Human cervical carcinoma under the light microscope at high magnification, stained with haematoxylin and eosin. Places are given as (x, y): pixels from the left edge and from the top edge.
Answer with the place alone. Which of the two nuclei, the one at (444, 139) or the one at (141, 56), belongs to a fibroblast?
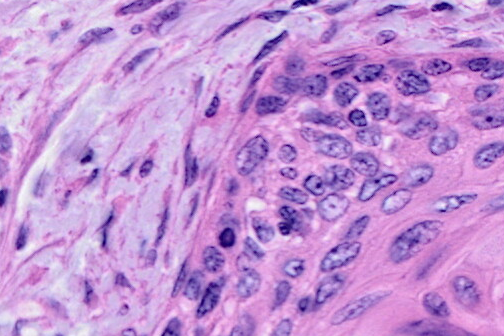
(141, 56)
